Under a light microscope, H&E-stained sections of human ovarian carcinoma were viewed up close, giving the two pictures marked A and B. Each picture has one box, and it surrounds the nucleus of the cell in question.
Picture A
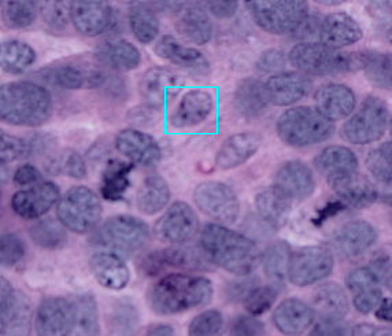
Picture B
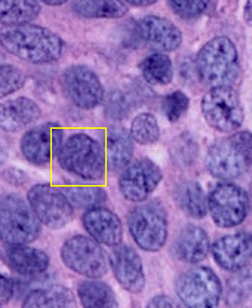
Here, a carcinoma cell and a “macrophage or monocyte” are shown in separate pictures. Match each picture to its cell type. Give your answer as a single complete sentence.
Picture A shows a “macrophage or monocyte” and picture B shows a carcinoma cell.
